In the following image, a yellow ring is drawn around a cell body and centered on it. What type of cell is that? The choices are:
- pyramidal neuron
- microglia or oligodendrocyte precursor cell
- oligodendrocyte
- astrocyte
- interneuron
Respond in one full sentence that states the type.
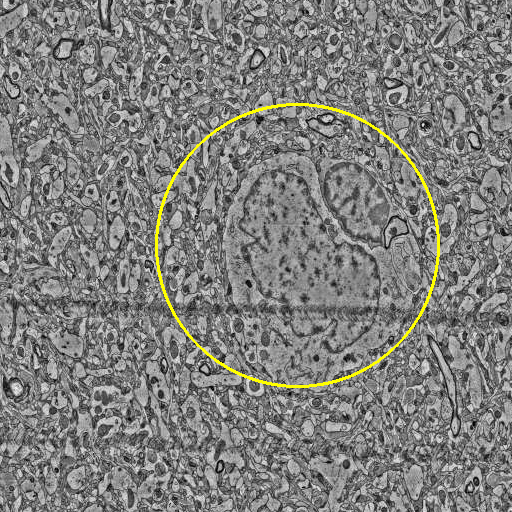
The cell at the center of the yellow ring in the image is an interneuron.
